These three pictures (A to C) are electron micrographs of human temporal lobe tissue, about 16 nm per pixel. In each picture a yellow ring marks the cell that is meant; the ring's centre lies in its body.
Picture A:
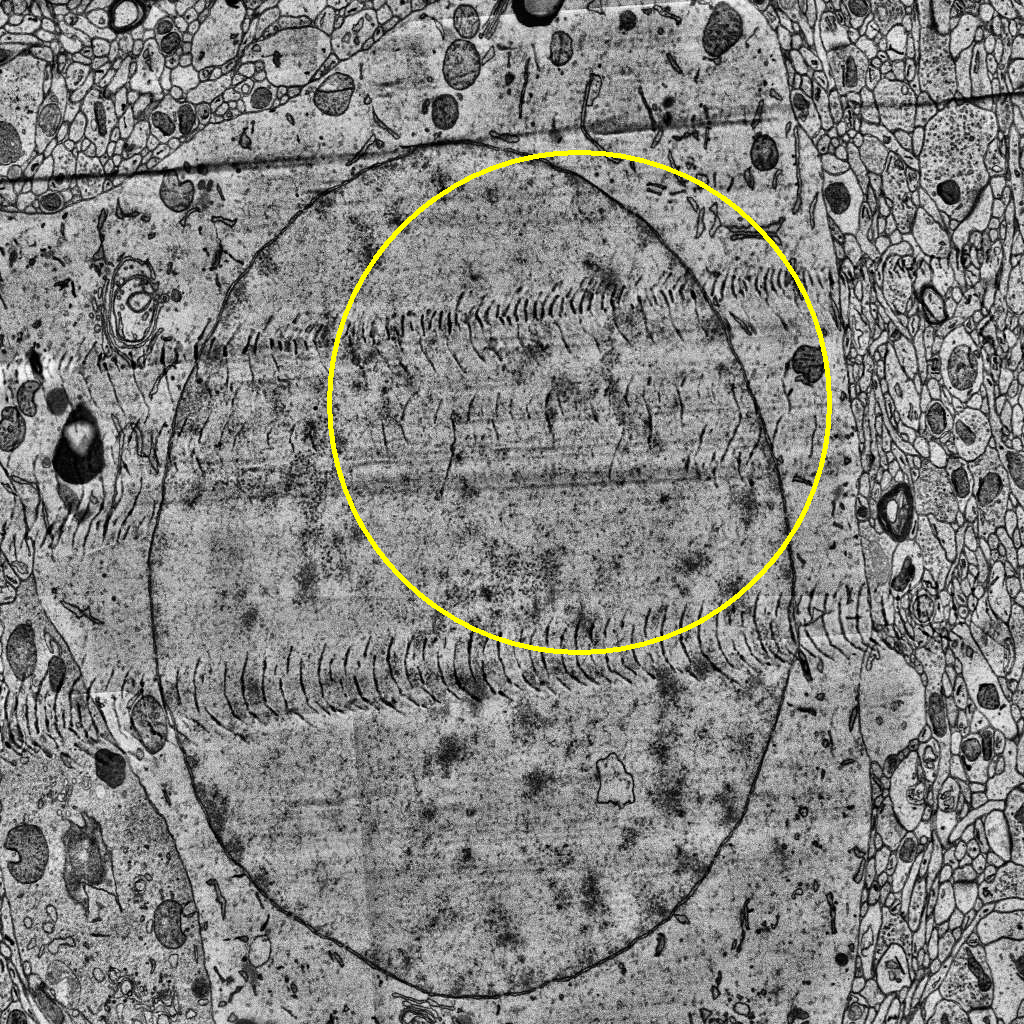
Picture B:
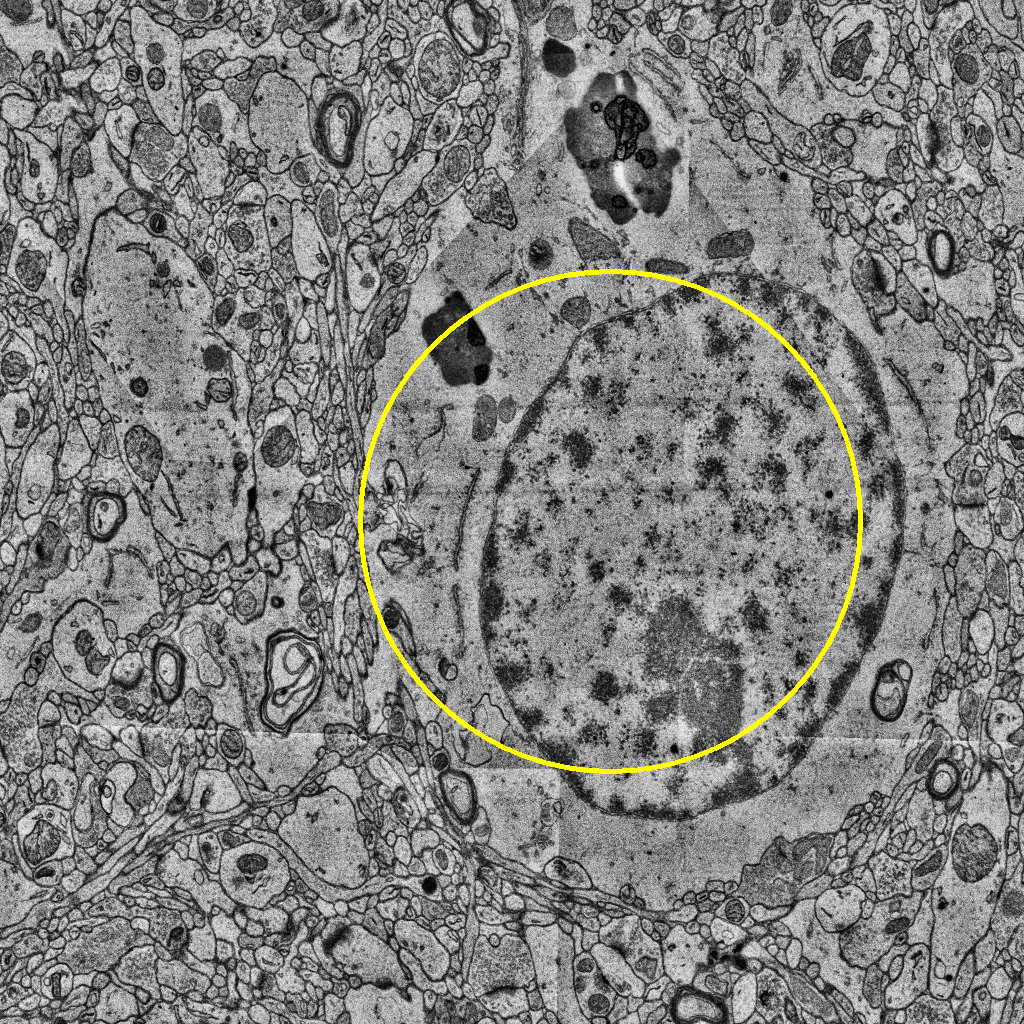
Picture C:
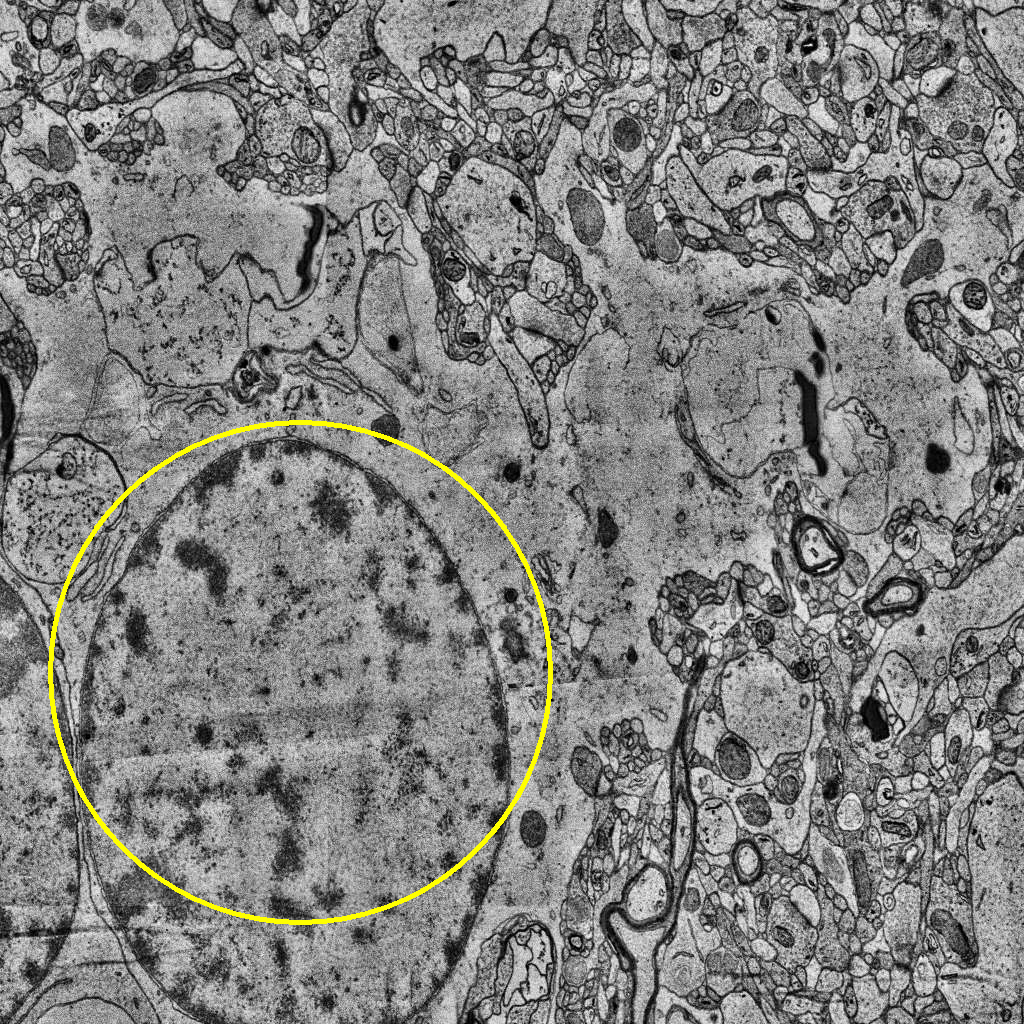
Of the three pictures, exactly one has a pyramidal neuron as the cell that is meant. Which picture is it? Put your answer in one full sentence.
Picture A shows the pyramidal neuron.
